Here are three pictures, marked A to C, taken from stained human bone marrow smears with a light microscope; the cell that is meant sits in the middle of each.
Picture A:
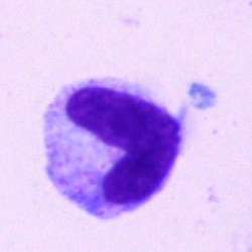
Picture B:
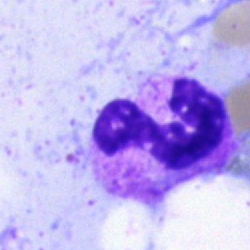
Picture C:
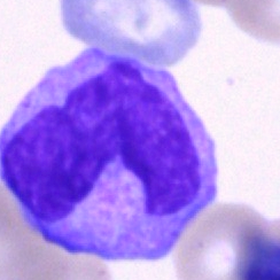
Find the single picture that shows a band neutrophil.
A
